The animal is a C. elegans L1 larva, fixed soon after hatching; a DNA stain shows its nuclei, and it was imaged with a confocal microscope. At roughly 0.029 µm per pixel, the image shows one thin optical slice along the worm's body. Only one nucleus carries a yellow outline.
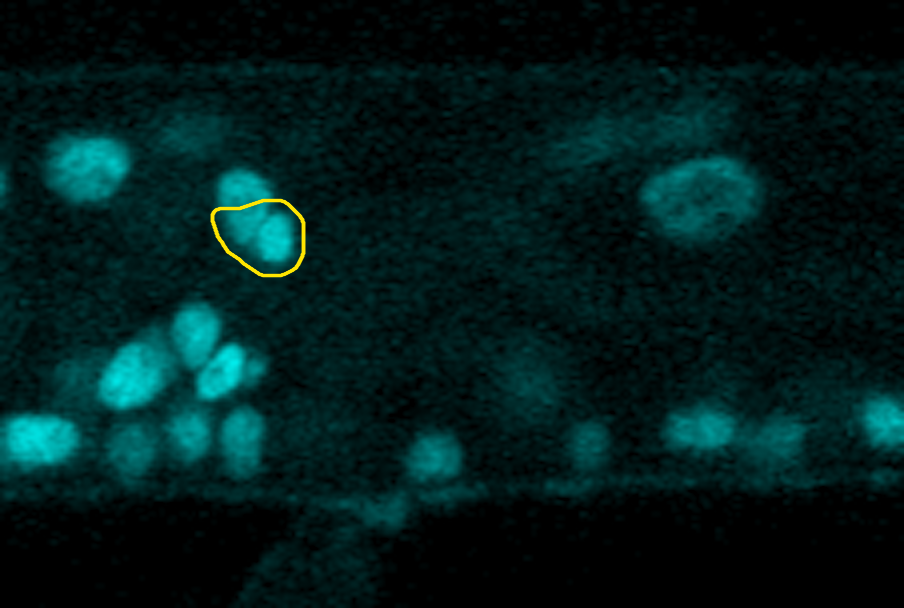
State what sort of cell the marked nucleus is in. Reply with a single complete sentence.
The nucleus comes from a valve cell of the gut.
